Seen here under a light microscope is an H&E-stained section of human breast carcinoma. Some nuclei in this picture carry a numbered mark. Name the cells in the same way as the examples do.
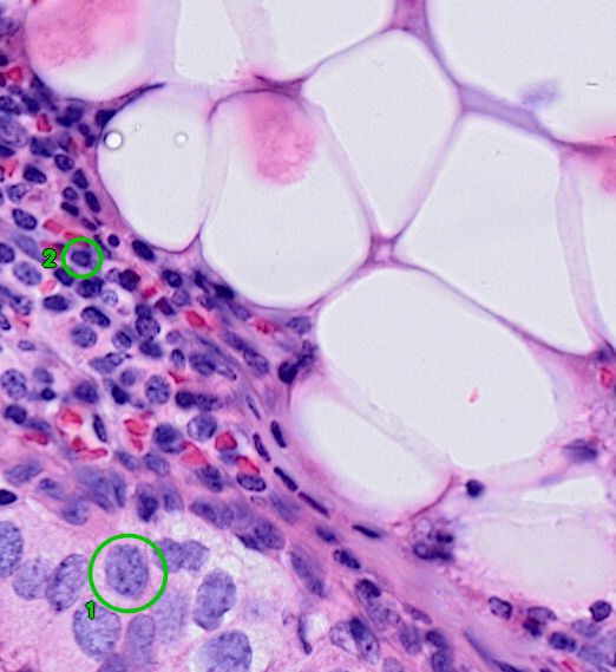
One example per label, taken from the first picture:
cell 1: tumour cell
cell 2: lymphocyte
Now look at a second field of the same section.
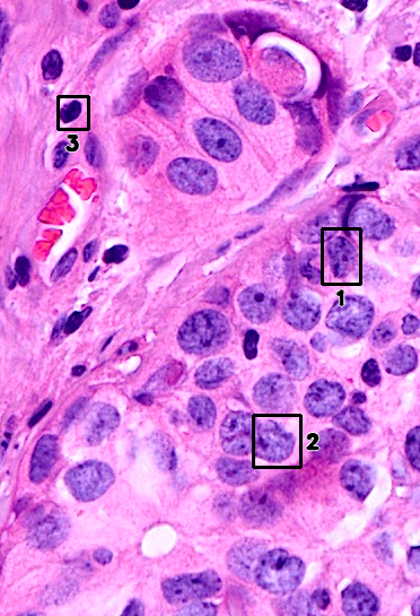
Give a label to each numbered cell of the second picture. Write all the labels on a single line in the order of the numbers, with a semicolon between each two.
tumour cell; tumour cell; lymphocyte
